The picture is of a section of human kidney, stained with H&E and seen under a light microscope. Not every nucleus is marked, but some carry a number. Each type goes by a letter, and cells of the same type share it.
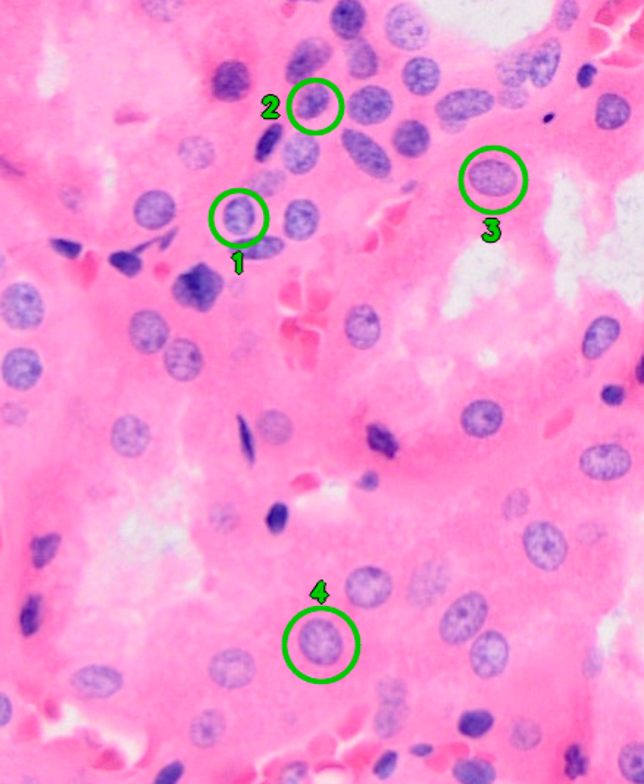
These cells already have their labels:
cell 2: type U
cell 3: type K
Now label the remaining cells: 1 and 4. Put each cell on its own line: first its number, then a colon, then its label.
1: type U
4: type K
